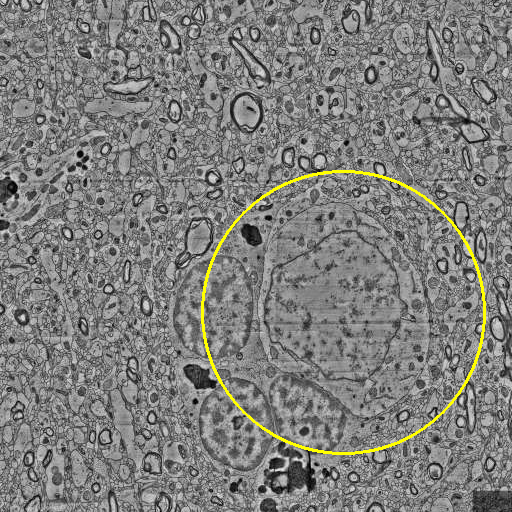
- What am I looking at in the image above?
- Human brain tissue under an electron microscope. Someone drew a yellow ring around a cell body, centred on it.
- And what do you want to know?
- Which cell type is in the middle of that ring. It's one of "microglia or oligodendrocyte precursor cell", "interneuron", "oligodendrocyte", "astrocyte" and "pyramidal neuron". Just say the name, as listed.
pyramidal neuron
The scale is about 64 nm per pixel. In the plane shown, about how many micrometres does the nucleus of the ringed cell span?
The nucleus is about 9 micrometres across in this plane.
